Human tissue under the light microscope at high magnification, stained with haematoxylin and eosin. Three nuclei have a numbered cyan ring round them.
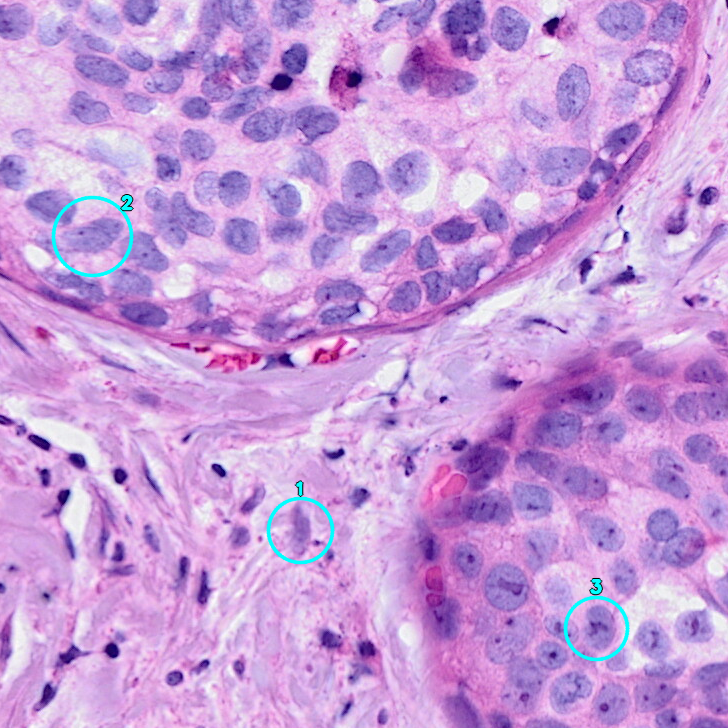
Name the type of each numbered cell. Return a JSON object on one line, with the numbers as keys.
{"1": "fibroblast", "2": "carcinoma cell", "3": "carcinoma cell"}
